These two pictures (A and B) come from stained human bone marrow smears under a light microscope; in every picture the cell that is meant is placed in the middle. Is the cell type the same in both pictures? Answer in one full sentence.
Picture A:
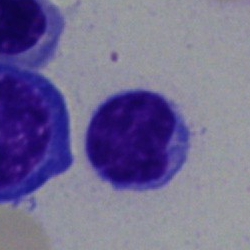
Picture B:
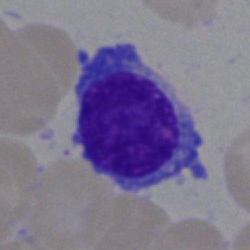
No, picture A shows a lymphocyte and picture B shows a plasma cell.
